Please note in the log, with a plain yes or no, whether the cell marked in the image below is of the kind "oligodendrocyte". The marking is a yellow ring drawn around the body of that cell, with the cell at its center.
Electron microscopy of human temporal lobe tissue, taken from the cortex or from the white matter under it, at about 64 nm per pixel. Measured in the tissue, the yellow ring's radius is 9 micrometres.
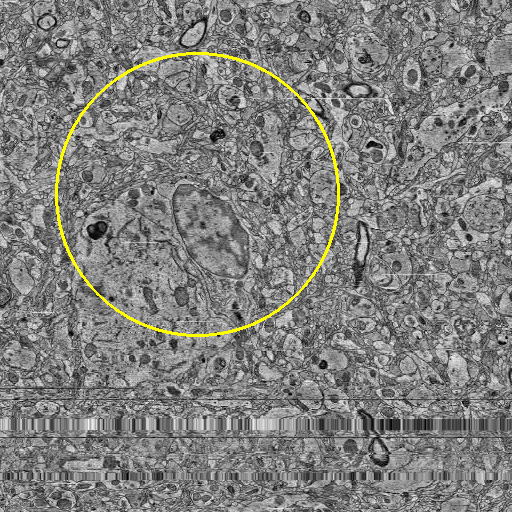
no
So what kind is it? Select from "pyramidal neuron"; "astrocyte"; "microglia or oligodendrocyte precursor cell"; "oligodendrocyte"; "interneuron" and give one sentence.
Here, the ring is centred on a microglial cell or oligodendrocyte precursor cell instead.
